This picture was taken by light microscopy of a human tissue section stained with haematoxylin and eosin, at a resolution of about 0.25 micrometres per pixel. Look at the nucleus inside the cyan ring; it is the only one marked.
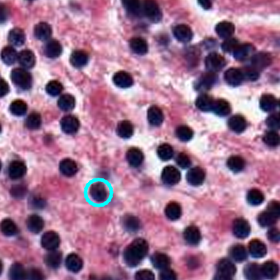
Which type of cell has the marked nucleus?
cerebellar granule cell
